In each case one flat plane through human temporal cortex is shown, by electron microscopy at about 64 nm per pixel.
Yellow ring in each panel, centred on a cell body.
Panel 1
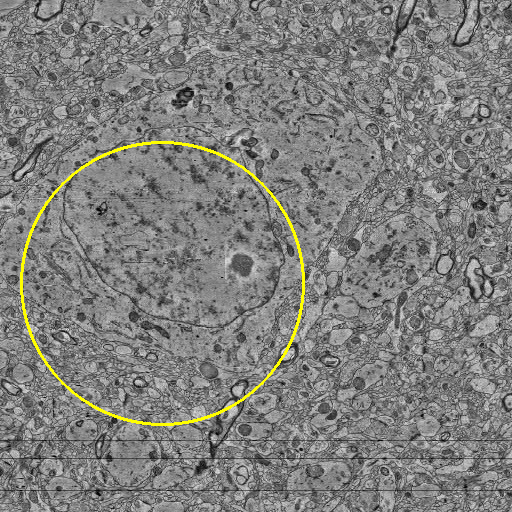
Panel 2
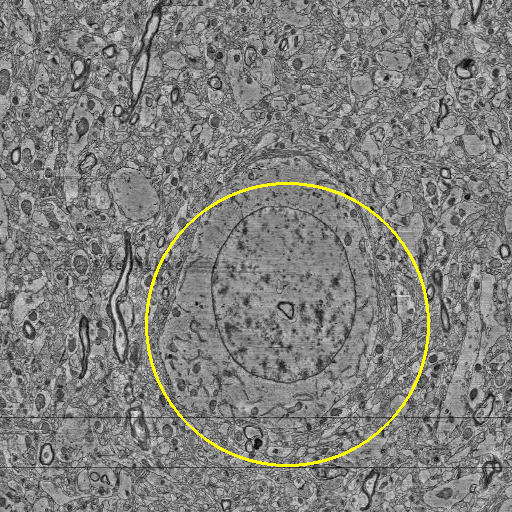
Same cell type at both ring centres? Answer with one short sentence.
Yes, both cells are of the same type.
